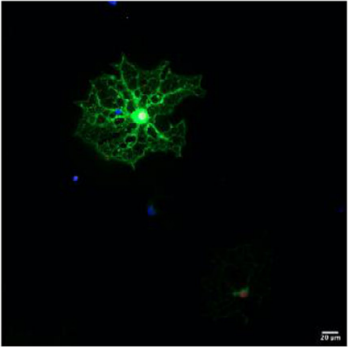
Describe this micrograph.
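This shows an oligodendrocyte in culture that has spread out a large flat membrane sheet. The cell body at the centre is bright green, and the sheet around it is several times wider than the cell body. The sheet has a lacy, net-like pattern of thicker green strands and a scalloped, irregular border. A much fainter second cell with a similar form lies lower in the field. A few small scattered blue nuclei lie around it.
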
